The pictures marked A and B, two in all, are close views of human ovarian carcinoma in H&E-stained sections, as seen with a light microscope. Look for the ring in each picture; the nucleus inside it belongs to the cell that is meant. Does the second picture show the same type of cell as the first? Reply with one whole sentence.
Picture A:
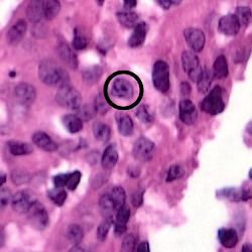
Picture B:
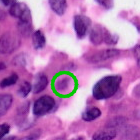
Yes, both cells are “macrophages or monocytes”.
